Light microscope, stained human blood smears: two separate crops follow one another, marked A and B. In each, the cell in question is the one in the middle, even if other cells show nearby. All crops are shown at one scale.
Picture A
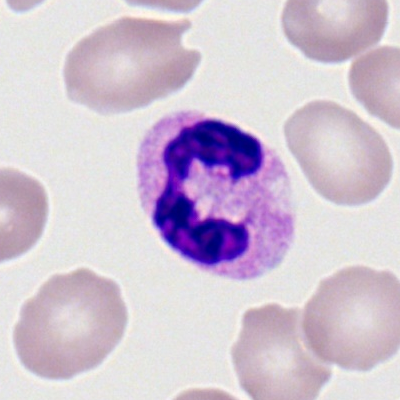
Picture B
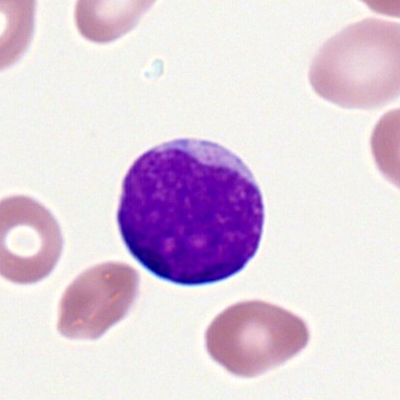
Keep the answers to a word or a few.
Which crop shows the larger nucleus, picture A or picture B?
B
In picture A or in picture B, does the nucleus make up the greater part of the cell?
B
